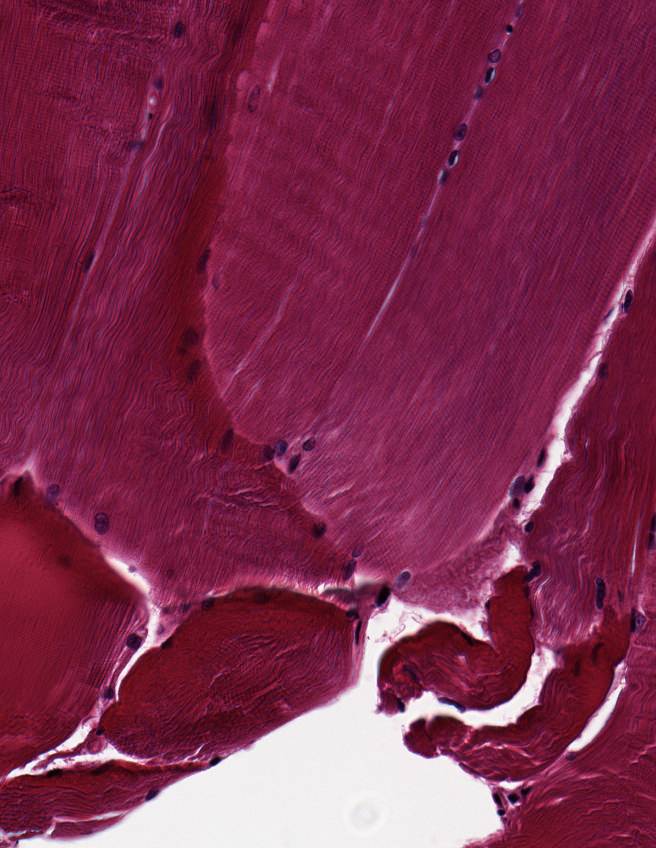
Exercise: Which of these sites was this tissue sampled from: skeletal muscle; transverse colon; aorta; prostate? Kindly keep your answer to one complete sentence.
The sampled site for this tissue is the skeletal muscle.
